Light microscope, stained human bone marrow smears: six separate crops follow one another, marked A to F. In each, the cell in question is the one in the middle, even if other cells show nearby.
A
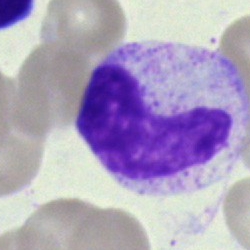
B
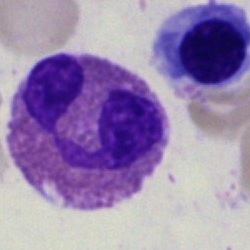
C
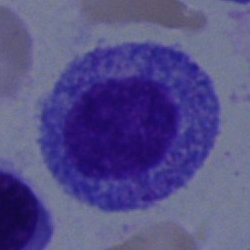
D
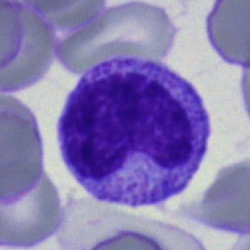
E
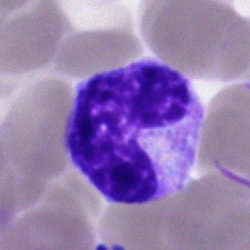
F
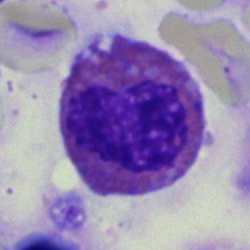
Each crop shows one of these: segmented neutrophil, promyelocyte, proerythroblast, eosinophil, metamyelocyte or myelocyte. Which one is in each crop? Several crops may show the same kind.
A: metamyelocyte
B: eosinophil
C: promyelocyte
D: metamyelocyte
E: metamyelocyte
F: eosinophil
